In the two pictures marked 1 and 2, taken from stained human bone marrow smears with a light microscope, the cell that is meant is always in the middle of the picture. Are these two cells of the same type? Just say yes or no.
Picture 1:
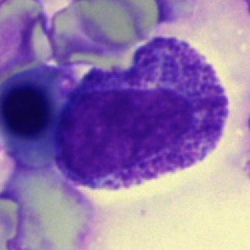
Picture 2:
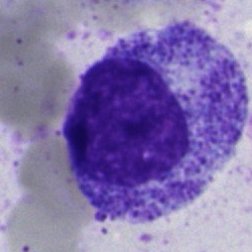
no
